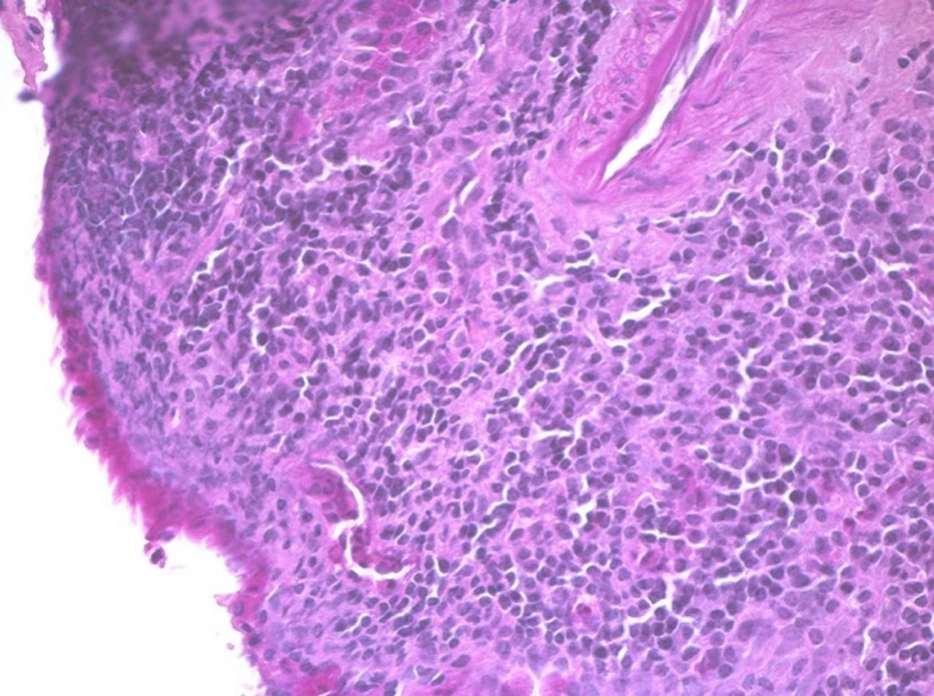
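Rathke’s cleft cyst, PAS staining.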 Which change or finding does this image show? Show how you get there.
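Sheets of small, round, densely dark-staining nuclei fill most of the field. The cells have scant cytoplasm and lie packed closely together. The dense cell sheets lie beneath the thin surface lining at the left edge. On this evidence: lymphocytic infiltration.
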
